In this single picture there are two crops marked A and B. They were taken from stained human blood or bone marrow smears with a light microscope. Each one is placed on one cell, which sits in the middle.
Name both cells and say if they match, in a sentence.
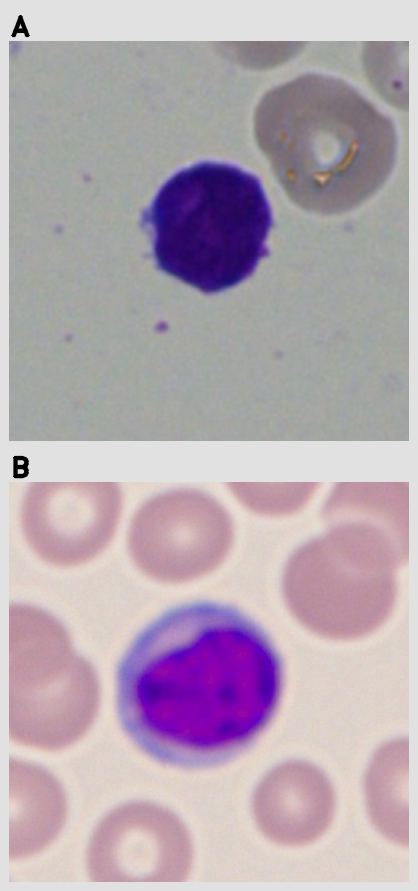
Yes, the cells at the centre of the two crops are both lymphocytes.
